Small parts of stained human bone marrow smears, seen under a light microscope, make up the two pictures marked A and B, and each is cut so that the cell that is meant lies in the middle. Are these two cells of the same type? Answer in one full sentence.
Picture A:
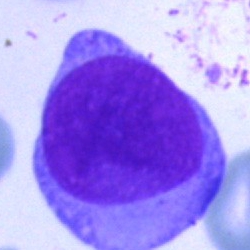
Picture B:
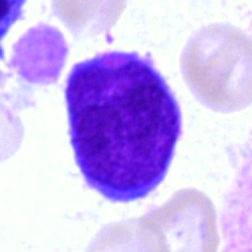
Yes; the cells in both pictures are blasts.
